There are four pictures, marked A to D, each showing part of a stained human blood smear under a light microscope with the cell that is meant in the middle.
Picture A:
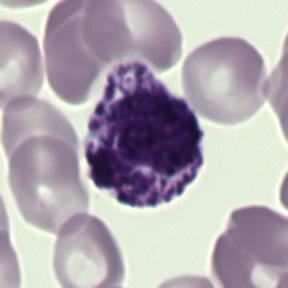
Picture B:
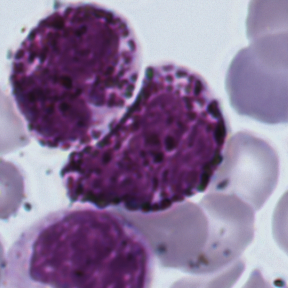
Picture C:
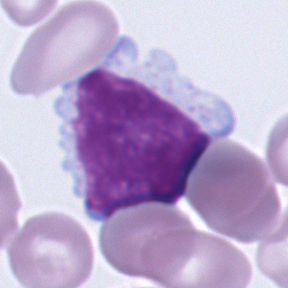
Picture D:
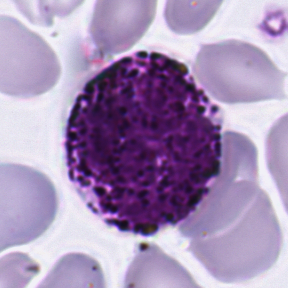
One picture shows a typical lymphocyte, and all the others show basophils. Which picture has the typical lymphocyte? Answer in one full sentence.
It is picture C that shows the typical lymphocyte.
